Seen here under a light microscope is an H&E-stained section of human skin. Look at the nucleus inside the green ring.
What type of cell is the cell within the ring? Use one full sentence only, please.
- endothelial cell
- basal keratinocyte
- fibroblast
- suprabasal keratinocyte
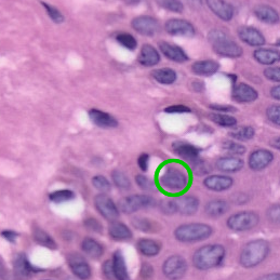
In short, the cell within the ring on this section is a basal keratinocyte.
